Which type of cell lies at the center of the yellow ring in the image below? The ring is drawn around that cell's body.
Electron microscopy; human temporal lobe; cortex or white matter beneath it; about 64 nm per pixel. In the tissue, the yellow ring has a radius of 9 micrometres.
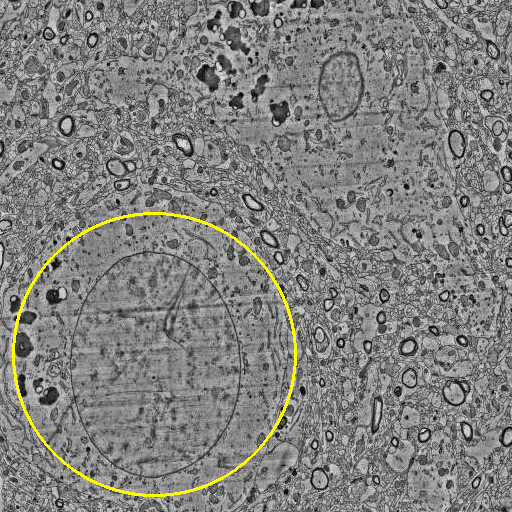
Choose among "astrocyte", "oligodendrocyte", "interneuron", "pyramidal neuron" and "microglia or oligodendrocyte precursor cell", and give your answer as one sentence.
The cell body at the center belongs to a pyramidal neuron.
